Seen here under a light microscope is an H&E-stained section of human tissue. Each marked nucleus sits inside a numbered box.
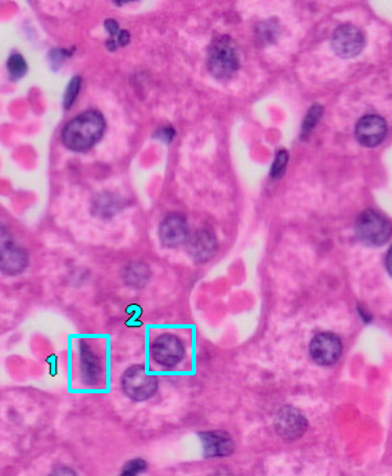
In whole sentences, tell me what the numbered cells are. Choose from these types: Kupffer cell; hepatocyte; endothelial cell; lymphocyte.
Cell 1 is an endothelial cell and cell 2 is a hepatocyte.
